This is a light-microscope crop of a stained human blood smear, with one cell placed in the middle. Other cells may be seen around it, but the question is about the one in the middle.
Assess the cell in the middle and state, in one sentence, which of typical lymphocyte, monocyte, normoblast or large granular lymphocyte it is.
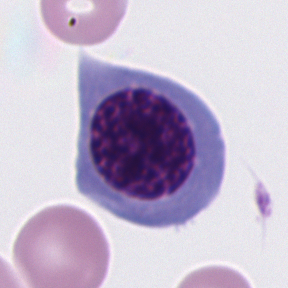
The center cell of this crop is a normoblast.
